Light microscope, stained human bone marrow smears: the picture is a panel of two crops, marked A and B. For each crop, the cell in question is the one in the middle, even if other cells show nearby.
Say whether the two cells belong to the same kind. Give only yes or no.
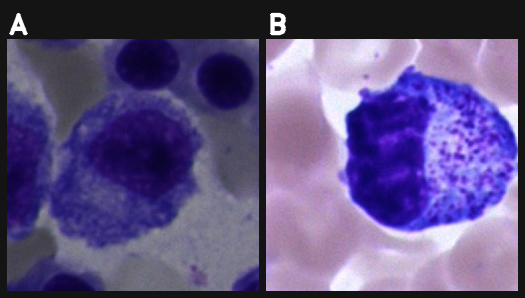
no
